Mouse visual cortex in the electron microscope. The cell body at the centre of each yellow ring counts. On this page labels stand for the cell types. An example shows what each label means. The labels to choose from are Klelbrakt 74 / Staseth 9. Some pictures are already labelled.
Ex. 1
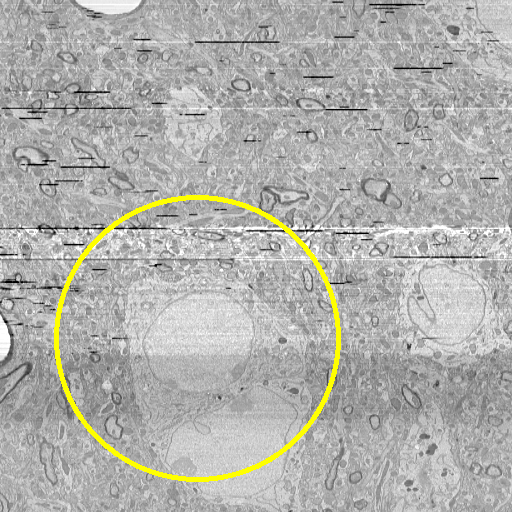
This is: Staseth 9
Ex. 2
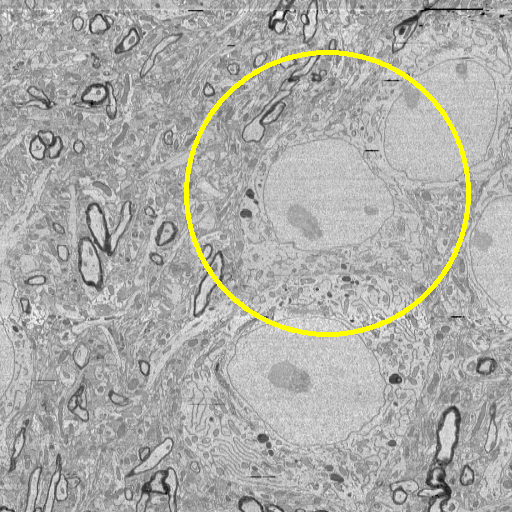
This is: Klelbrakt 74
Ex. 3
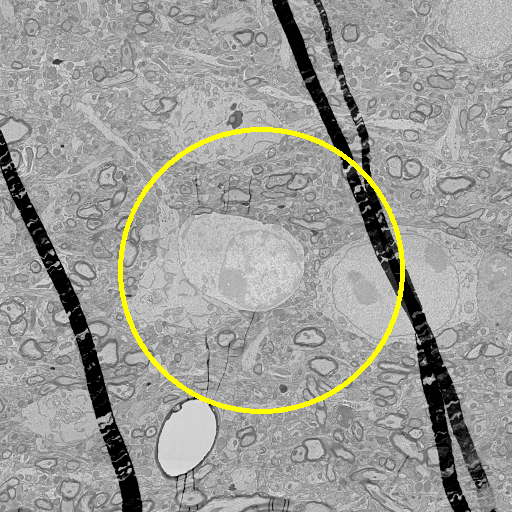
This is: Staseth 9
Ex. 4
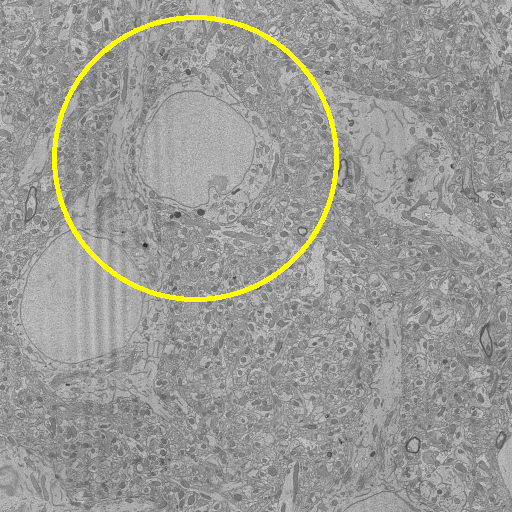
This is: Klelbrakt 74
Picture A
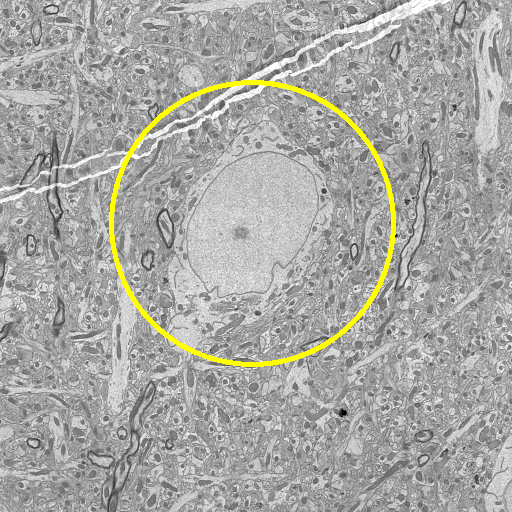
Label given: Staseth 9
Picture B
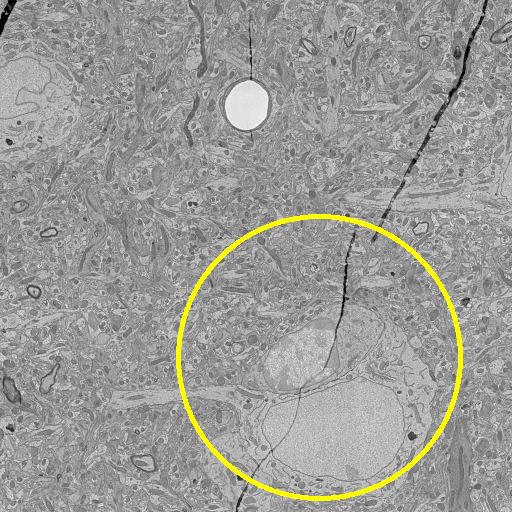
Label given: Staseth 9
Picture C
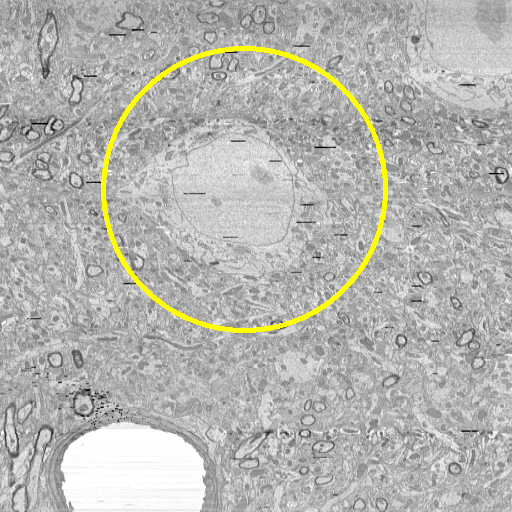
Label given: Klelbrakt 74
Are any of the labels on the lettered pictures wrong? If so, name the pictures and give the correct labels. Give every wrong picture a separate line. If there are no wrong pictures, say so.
A is labelled Staseth 9; correct label: Klelbrakt 74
